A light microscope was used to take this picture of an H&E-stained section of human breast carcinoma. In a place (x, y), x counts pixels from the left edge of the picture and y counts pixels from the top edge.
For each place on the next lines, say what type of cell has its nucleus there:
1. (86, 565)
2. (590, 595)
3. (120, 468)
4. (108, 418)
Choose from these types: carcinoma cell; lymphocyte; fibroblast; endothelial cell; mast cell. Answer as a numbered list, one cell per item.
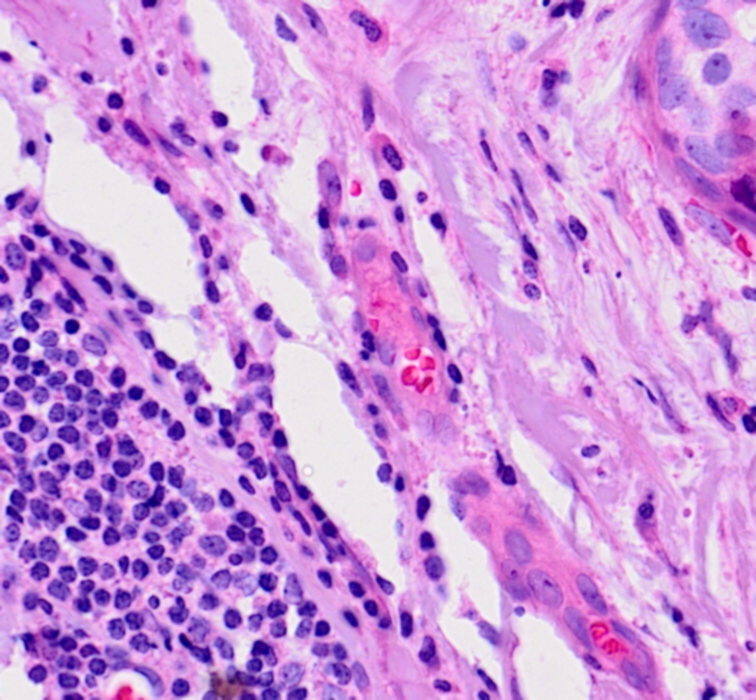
1. lymphocyte
2. endothelial cell
3. lymphocyte
4. lymphocyte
